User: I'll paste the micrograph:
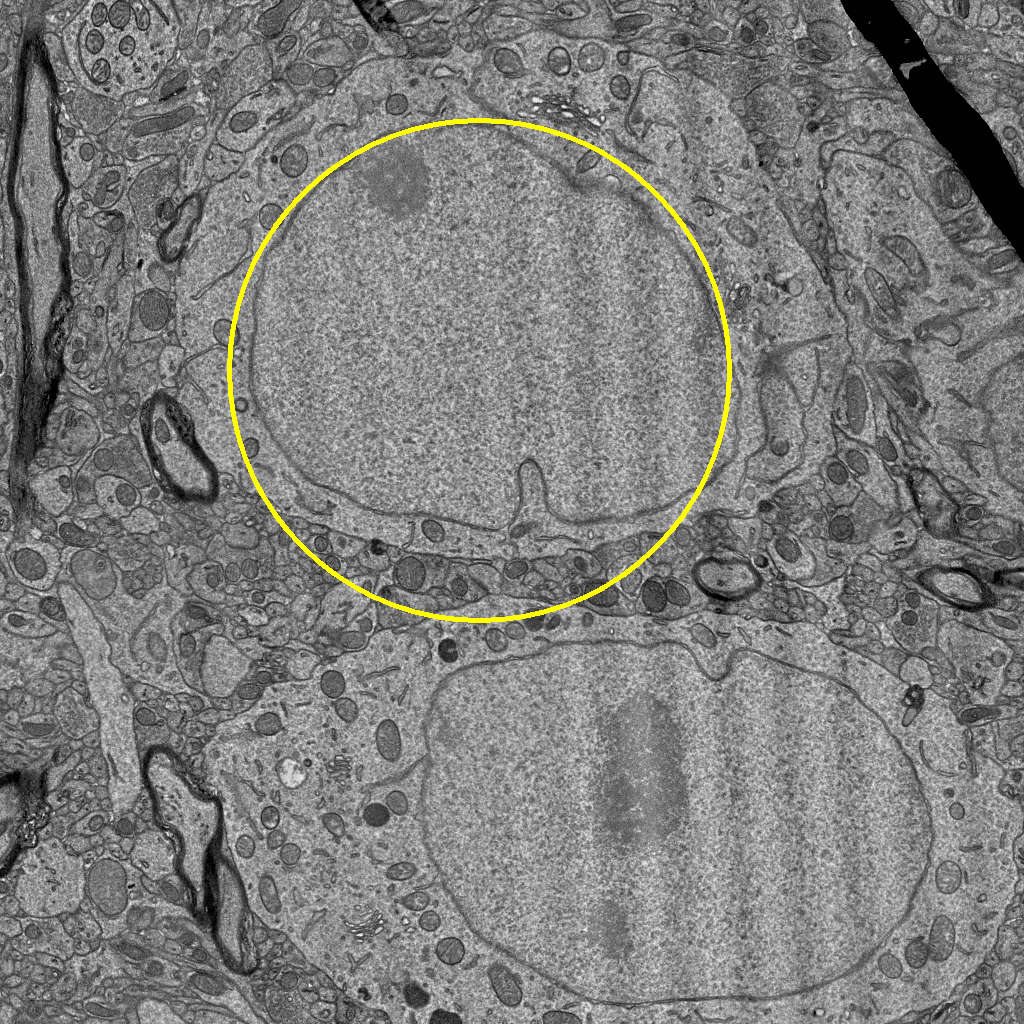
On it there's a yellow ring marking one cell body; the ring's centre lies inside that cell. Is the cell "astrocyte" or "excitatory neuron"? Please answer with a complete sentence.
The cell at the centre of the yellow ring is an excitatory neuron.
